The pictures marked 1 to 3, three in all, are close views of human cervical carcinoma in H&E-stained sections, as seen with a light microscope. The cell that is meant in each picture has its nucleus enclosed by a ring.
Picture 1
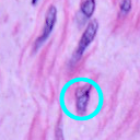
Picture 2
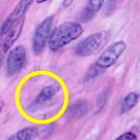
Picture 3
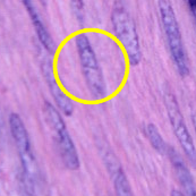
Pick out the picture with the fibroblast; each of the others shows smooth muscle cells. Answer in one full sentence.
Picture 2 shows the fibroblast.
